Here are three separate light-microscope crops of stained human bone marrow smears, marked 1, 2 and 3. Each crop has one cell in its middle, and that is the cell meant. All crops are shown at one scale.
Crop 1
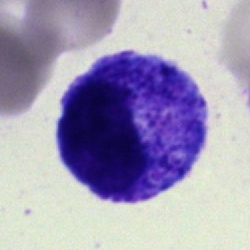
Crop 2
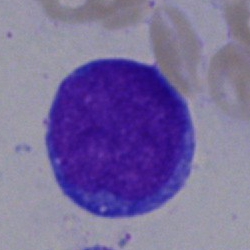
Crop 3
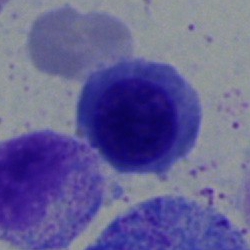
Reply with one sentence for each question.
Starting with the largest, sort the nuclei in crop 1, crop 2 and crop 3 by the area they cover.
Largest first: 2, 1, 3.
